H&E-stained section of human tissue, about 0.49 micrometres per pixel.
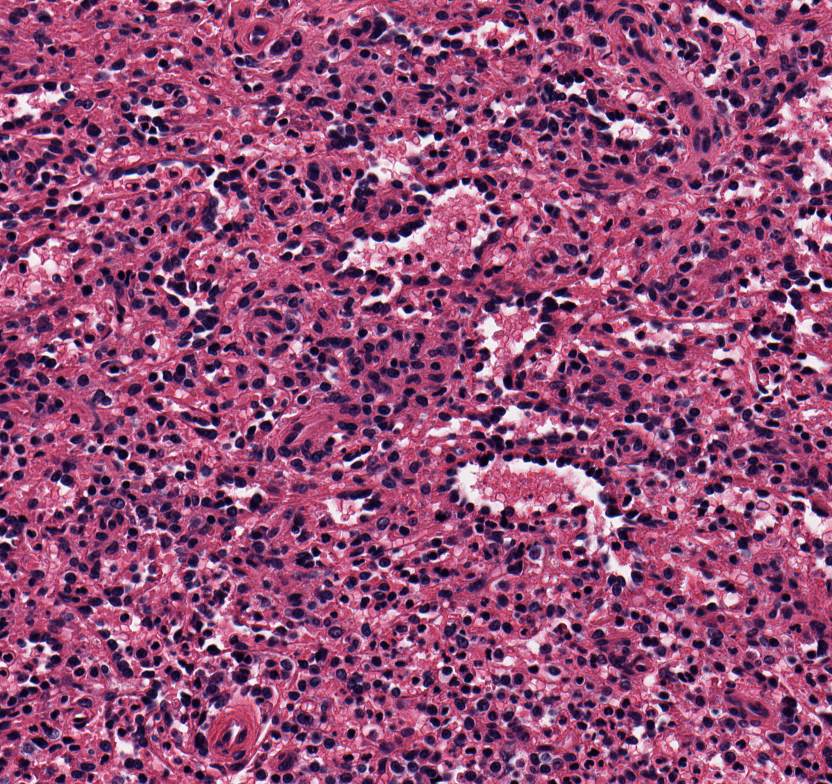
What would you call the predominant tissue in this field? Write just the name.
red pulp of the spleen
